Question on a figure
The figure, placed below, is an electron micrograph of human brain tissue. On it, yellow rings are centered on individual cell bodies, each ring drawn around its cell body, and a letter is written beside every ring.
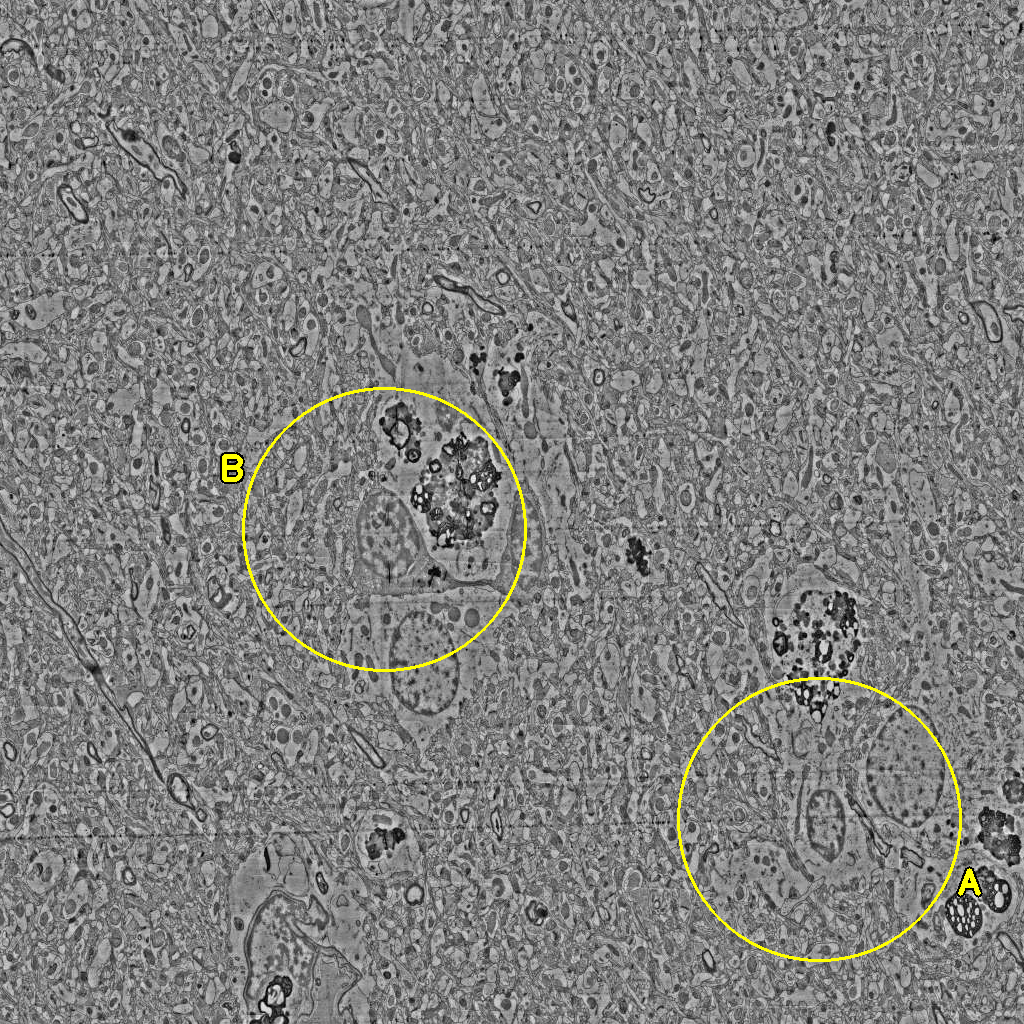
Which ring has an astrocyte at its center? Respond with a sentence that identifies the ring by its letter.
The ring marked A has it at its center.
